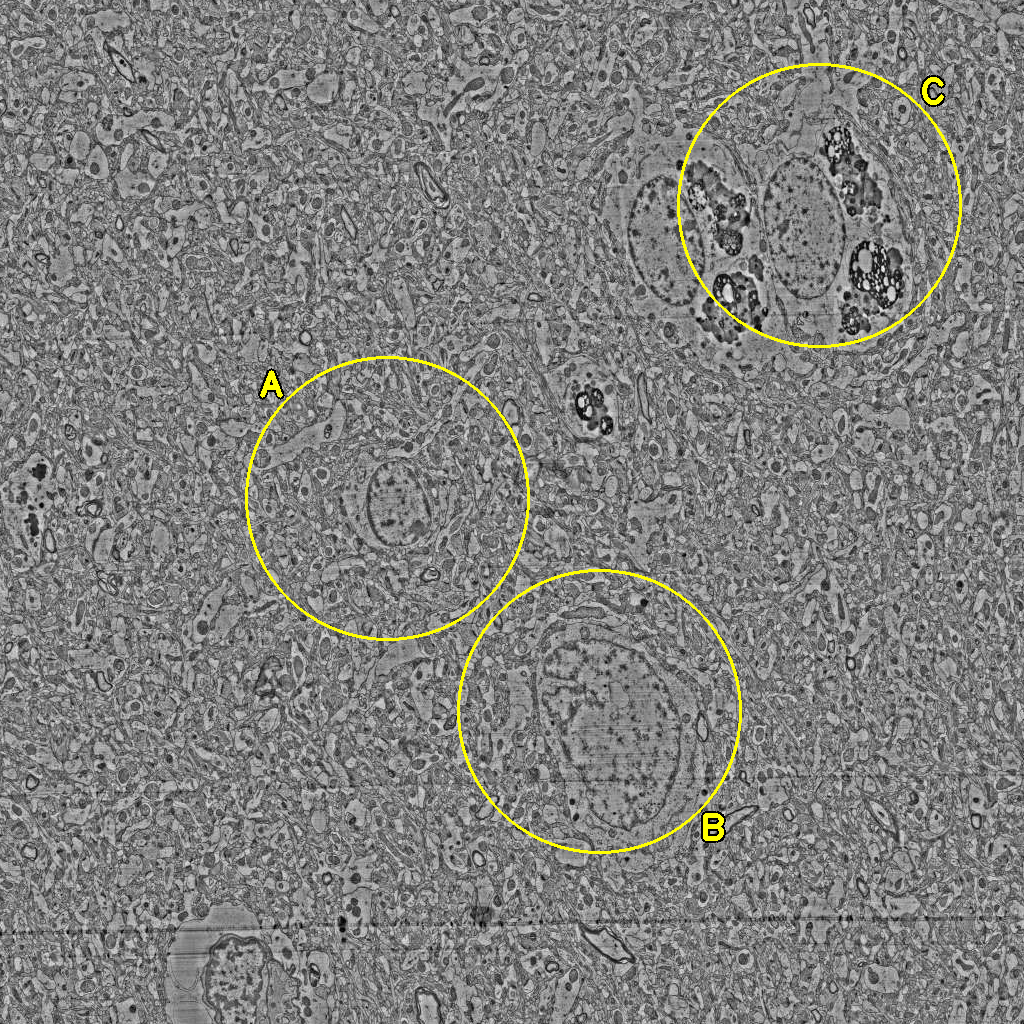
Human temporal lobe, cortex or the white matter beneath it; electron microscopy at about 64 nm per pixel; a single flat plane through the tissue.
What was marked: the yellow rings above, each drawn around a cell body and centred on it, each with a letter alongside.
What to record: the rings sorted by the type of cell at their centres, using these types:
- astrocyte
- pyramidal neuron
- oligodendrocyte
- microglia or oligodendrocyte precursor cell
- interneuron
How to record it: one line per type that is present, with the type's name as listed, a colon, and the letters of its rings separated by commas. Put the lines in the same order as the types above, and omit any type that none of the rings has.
astrocyte: C
microglia or oligodendrocyte precursor cell: A
interneuron: B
